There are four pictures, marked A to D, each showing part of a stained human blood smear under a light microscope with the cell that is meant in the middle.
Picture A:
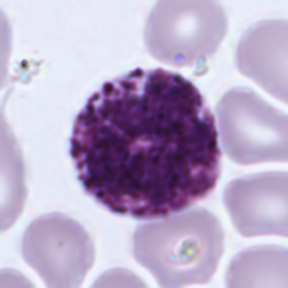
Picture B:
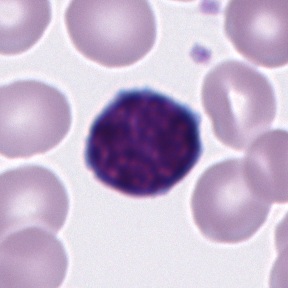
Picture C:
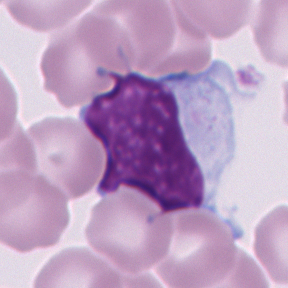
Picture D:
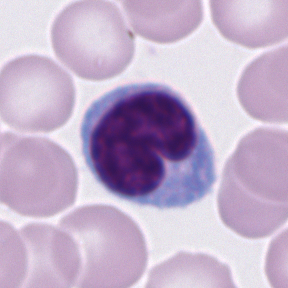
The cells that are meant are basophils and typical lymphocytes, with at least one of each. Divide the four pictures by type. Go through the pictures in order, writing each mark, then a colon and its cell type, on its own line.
A: basophil
B: typical lymphocyte
C: typical lymphocyte
D: typical lymphocyte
